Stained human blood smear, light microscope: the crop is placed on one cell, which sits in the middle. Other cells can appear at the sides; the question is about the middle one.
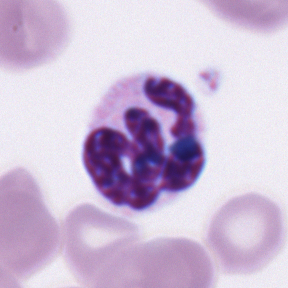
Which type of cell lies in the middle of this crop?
neutrophil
